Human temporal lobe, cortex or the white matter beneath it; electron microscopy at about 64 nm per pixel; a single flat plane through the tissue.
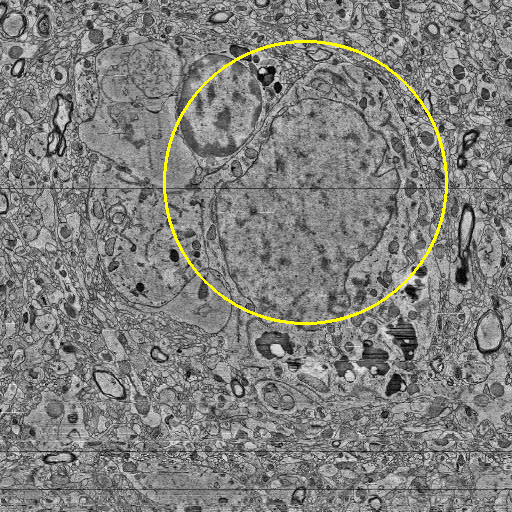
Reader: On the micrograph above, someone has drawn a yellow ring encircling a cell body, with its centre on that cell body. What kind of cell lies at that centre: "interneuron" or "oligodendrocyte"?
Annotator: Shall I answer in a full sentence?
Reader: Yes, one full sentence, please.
Here an interneuron sits at the centre of the yellow ring drawn on the micrograph.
